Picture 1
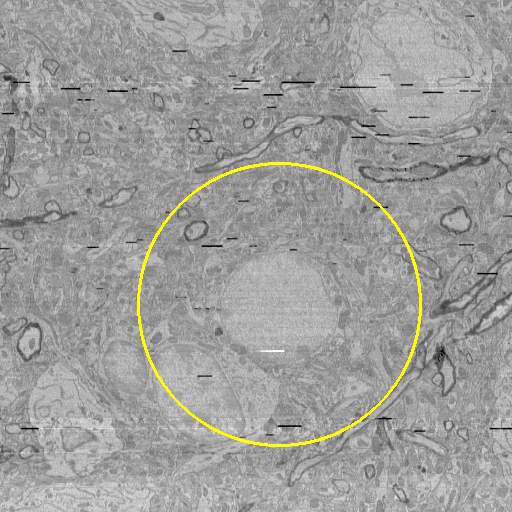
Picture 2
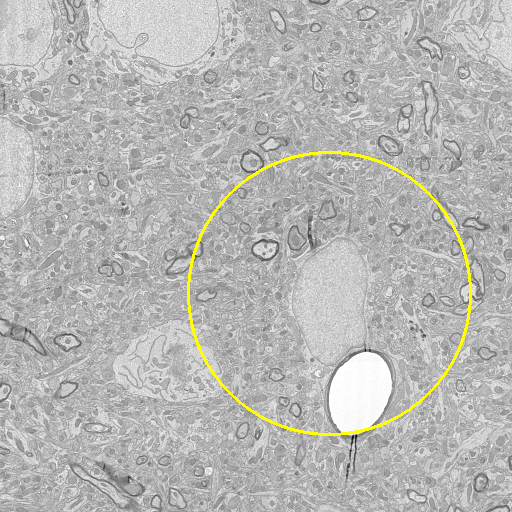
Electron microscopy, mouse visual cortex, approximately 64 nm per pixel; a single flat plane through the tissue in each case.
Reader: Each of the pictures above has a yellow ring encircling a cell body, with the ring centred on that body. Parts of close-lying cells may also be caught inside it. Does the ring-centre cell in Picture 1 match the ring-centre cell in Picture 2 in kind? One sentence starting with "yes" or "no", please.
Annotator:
Yes, Picture 1 and Picture 2 show ring-centre cells of a single kind.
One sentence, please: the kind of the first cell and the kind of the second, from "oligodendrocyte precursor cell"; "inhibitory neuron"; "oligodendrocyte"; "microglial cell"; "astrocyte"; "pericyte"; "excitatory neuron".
The ring centre holds an astrocyte in each of the two pictures.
